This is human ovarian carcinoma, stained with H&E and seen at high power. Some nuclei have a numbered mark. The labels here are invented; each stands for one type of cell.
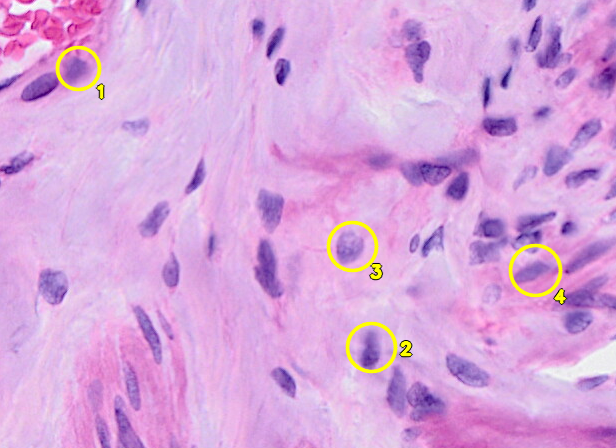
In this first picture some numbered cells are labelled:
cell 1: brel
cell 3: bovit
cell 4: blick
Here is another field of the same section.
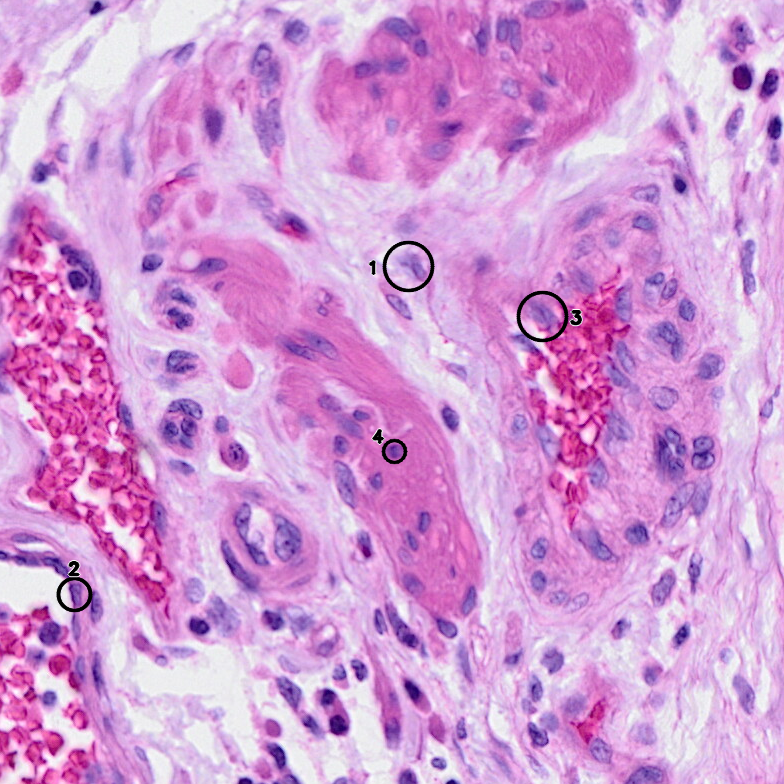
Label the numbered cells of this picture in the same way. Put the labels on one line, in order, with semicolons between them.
bovit; brel; brel; blick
